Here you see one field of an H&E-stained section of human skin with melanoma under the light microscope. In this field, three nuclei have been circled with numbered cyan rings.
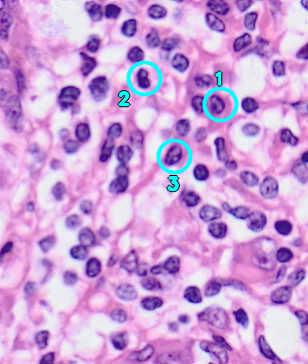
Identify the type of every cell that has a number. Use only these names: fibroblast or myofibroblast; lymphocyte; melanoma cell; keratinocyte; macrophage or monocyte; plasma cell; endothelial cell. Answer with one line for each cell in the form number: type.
1: plasma cell
2: lymphocyte
3: plasma cell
